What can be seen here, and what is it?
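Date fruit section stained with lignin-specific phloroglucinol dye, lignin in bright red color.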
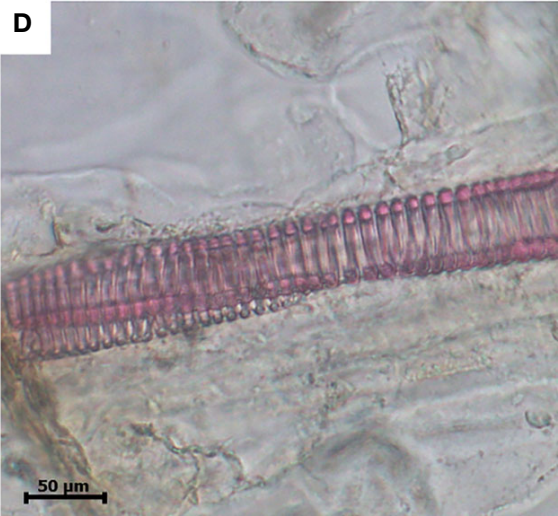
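A lignified xylem vessel runs diagonally across the field as a long tube. Its wall is strengthened by closely spaced red rings or spiral bands. The surrounding tissue is pale, unstained and thin-walled.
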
